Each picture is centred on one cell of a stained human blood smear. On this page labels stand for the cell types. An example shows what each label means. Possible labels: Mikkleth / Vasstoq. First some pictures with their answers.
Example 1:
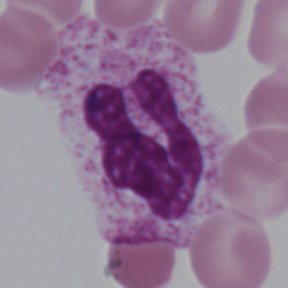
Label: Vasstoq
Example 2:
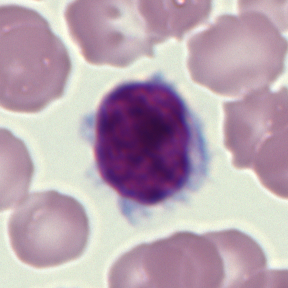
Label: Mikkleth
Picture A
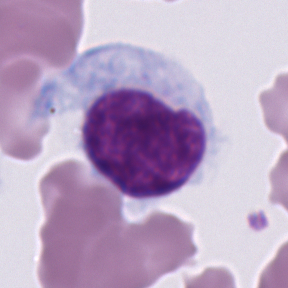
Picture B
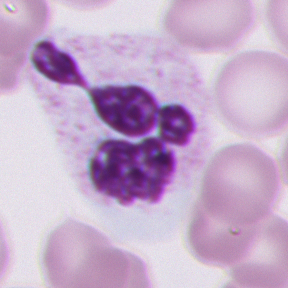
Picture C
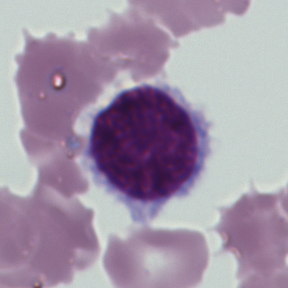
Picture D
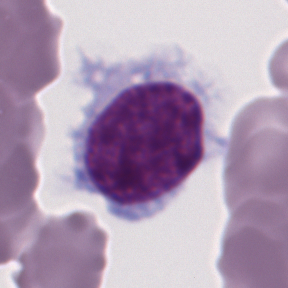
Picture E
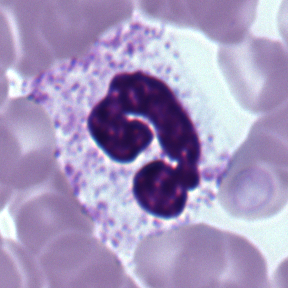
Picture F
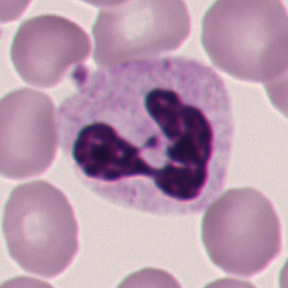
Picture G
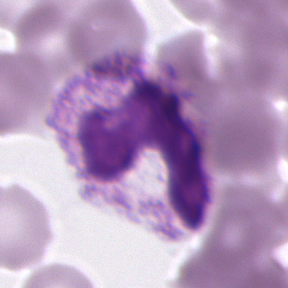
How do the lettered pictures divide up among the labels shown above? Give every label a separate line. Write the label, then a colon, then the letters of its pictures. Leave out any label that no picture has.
Mikkleth: A, C, D
Vasstoq: B, E, F, G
